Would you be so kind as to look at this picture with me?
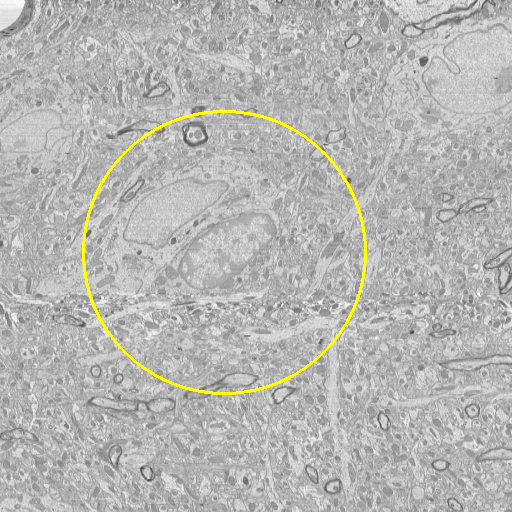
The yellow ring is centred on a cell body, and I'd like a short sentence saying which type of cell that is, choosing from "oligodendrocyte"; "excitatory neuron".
The cell body in the ring belongs to an oligodendrocyte.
